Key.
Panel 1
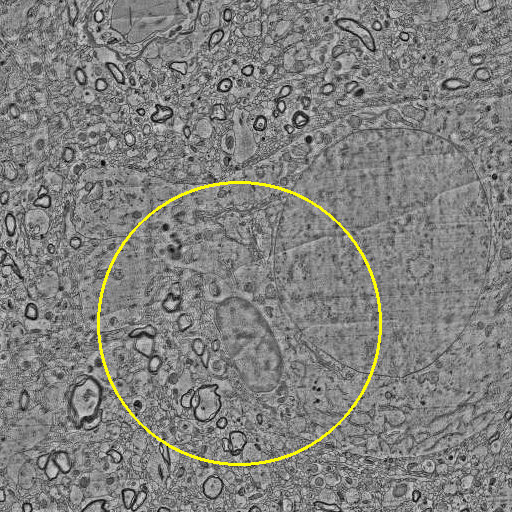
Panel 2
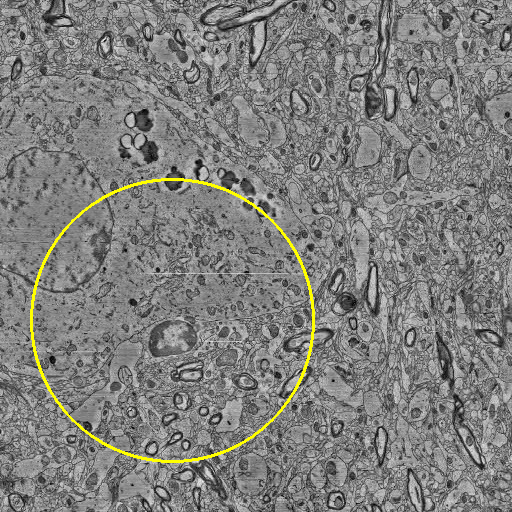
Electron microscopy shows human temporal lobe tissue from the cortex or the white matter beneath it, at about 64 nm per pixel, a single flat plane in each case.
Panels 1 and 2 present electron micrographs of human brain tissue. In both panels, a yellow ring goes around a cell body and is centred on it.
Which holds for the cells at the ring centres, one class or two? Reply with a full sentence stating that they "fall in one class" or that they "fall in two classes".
Taken together, the ring-centre cells of the two panels fall in one class.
